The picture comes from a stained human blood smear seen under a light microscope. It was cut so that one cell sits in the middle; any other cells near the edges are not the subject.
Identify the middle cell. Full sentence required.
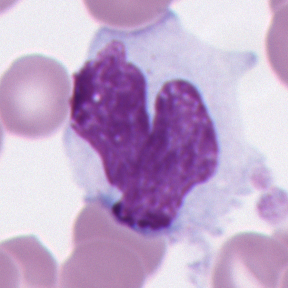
The middle position in this crop is taken by a monocyte.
